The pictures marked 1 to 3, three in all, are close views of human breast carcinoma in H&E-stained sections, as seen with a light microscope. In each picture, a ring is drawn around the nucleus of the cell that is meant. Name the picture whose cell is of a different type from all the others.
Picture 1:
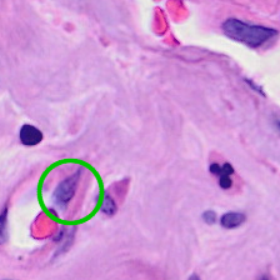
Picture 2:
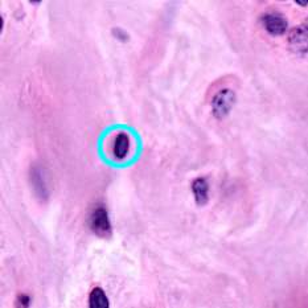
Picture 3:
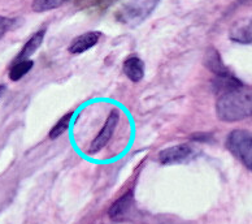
2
